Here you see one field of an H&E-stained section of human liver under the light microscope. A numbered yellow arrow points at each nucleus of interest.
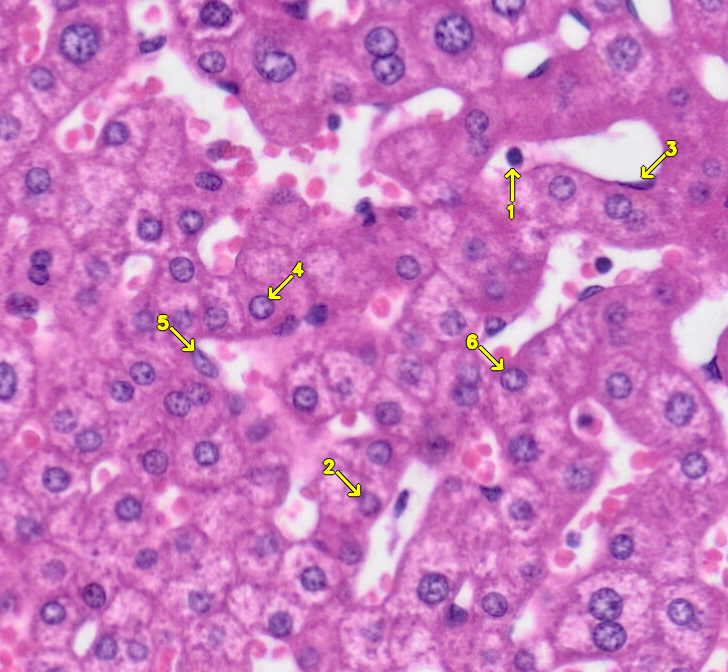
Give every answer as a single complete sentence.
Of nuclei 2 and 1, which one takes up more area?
Nucleus 2 covers more area, about 1.5 times as much as nucleus 1.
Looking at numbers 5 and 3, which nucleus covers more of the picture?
Nucleus 5 is larger, with an area about 2 times that of nucleus 3.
